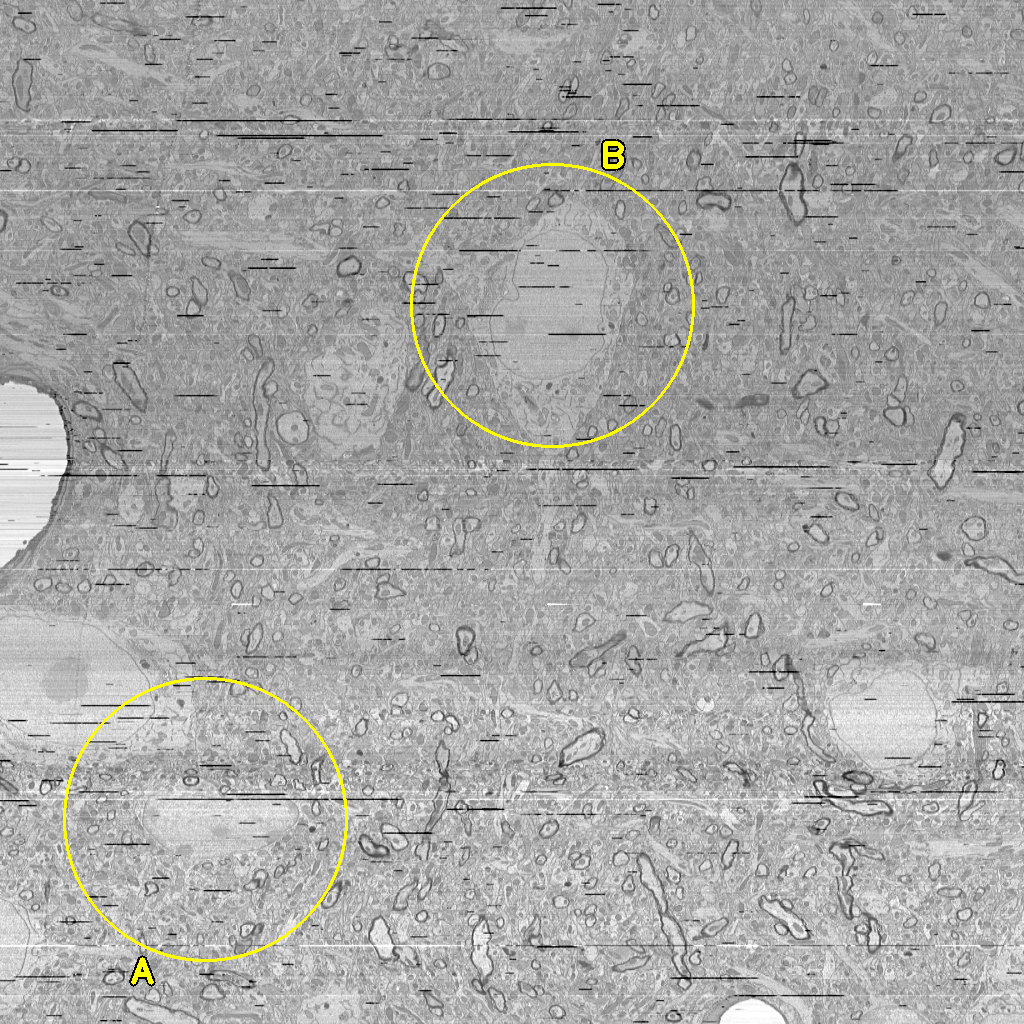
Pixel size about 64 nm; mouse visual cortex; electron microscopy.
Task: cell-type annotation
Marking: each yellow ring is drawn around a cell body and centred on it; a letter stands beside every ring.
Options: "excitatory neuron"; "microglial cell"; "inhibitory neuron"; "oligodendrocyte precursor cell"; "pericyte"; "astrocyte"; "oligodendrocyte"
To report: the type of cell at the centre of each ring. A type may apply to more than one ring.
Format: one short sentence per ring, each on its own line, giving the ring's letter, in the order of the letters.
Ring A is centred on an astrocyte.
Ring B is centred on an excitatory neuron.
